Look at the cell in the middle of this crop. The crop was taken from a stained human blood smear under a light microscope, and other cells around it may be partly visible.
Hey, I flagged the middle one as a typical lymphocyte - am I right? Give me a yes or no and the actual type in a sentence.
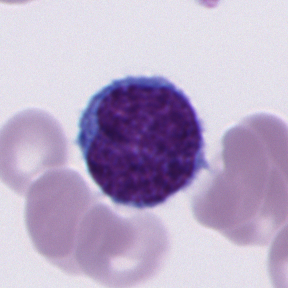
Yes, it is a typical lymphocyte that lies in the middle.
